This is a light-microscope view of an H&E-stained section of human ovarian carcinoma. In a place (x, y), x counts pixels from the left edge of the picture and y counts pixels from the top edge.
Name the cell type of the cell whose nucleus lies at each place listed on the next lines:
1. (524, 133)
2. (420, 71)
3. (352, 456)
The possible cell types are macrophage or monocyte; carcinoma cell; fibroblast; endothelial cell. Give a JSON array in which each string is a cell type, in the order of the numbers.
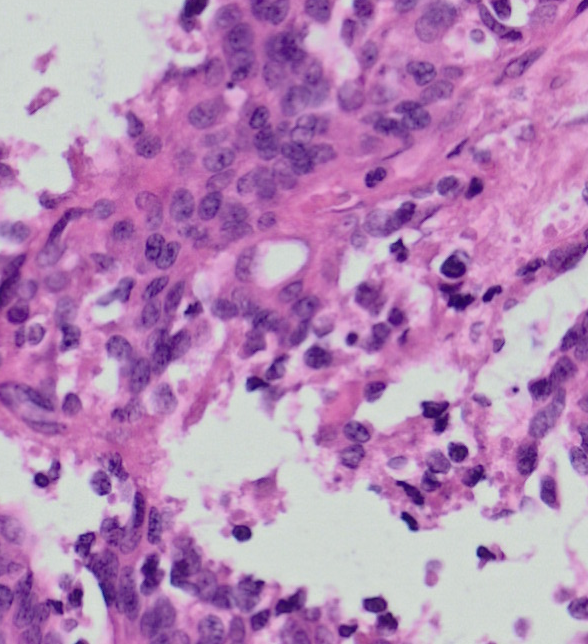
["fibroblast", "macrophage or monocyte", "macrophage or monocyte"]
